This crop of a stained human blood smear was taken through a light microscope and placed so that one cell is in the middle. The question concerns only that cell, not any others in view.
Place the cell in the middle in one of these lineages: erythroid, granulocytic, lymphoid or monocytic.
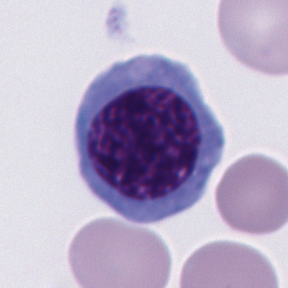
erythroid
